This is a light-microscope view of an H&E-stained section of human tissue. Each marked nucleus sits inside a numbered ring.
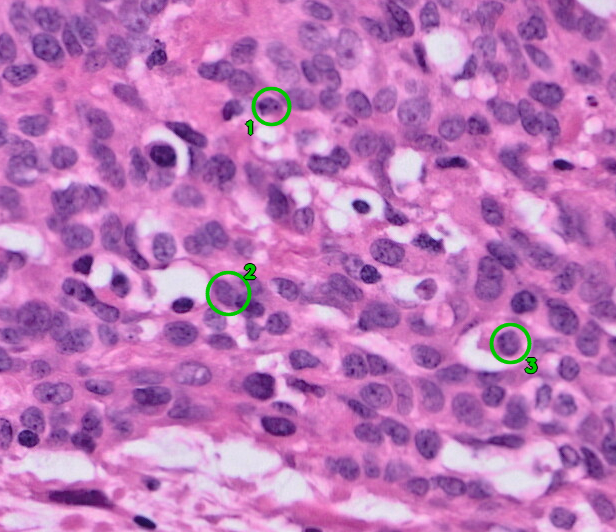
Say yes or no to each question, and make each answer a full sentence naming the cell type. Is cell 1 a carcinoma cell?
No, rather than a carcinoma cell, cell number 1 is a macrophage or monocyte.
